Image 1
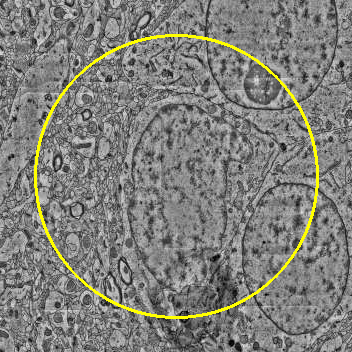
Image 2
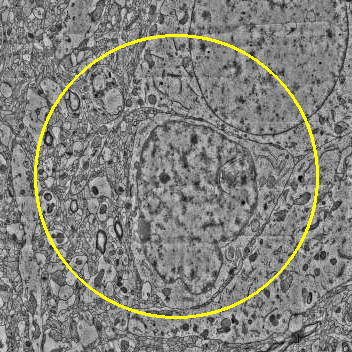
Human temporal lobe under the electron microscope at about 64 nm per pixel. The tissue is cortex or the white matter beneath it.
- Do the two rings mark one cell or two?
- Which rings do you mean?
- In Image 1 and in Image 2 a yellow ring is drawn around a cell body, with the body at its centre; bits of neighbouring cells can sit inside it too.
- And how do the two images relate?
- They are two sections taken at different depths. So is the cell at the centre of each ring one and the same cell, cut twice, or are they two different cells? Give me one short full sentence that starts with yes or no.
Yes, both circles in yellow pick out the same cell.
